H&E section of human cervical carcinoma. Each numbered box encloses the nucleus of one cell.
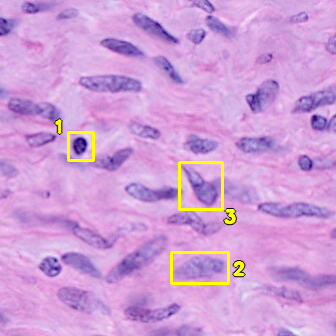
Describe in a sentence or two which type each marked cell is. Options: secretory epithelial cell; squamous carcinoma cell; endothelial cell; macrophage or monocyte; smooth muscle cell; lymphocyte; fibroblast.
Cell 1 is a lymphocyte. Cells 2 and 3 are smooth muscle cells.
